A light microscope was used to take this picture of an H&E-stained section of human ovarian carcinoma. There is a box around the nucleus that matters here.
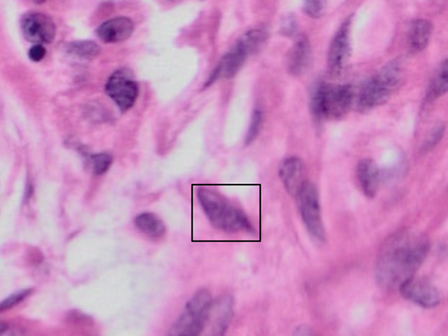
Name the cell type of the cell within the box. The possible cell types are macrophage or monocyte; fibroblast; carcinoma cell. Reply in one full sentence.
Within this tissue, the cell within the box is a fibroblast.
